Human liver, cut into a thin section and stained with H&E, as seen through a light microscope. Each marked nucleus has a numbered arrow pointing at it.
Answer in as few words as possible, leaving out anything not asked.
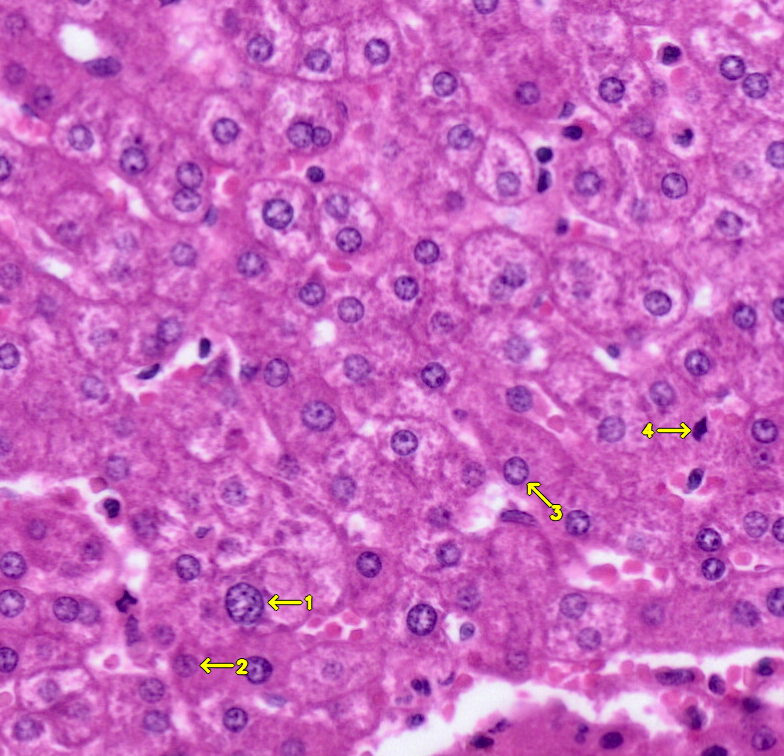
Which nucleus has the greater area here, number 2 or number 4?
2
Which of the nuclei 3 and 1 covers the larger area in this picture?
1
